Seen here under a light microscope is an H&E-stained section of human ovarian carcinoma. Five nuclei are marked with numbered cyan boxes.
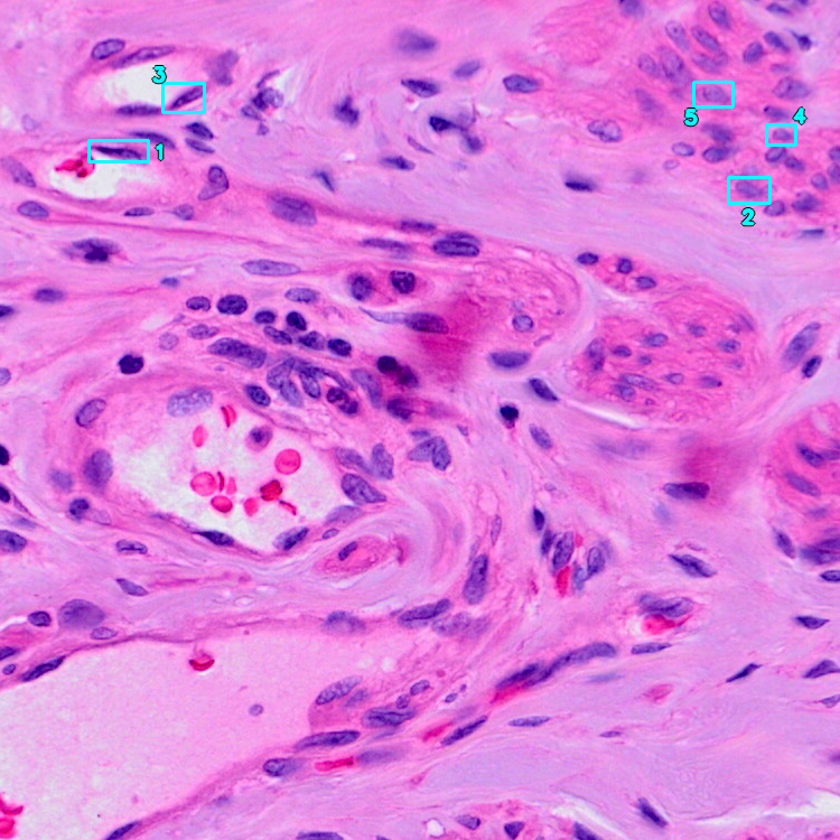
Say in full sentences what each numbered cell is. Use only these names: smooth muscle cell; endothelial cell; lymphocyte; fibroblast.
Cells 1 and 3 are endothelial cells. Cells 2, 4 and 5 are smooth muscle cells.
